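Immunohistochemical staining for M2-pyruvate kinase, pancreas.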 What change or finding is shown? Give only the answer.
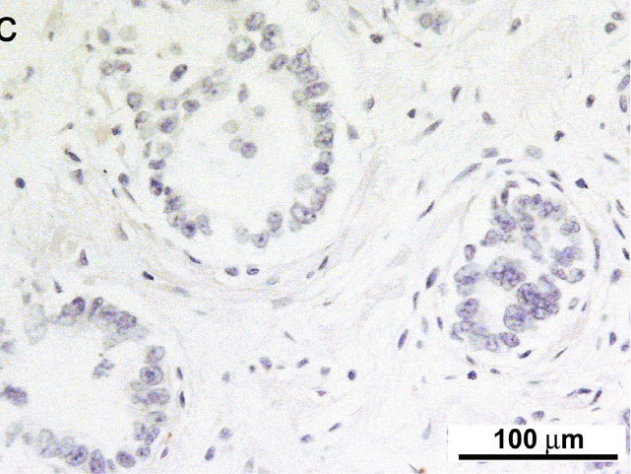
Well differentiated adenocarcinoma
